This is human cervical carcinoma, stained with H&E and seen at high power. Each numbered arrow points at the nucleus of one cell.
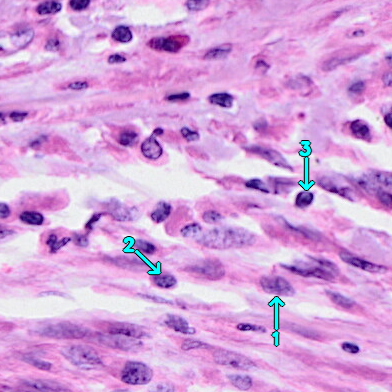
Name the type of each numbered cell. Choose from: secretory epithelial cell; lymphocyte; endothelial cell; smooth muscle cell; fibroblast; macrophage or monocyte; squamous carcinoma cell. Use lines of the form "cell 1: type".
cell 1: macrophage or monocyte
cell 2: lymphocyte
cell 3: lymphocyte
